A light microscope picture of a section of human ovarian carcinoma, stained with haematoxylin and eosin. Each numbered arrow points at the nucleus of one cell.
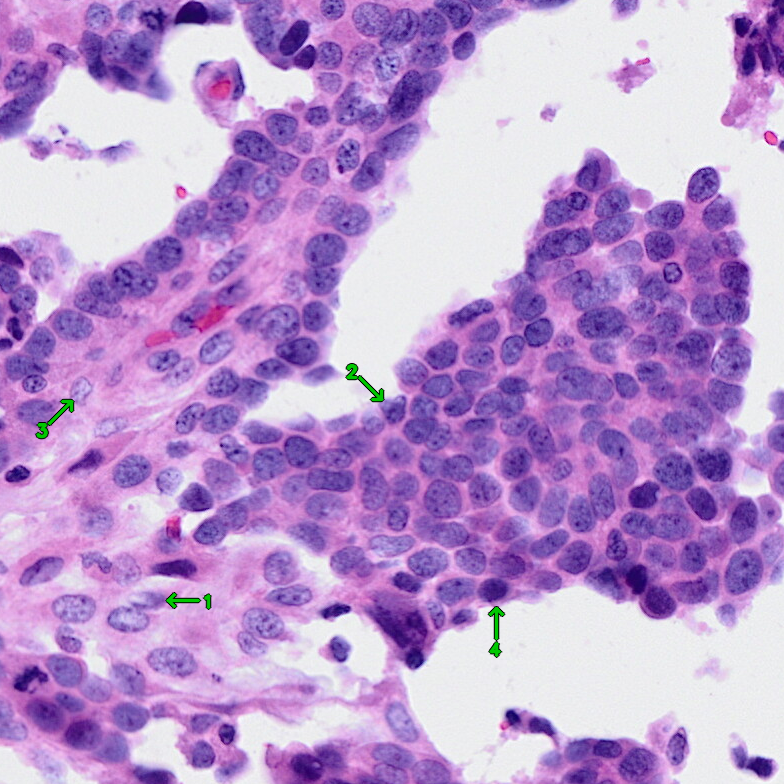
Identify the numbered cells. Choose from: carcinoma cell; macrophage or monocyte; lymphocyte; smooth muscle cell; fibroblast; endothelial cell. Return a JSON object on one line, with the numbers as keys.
{"1": "fibroblast", "2": "carcinoma cell", "3": "fibroblast", "4": "carcinoma cell"}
